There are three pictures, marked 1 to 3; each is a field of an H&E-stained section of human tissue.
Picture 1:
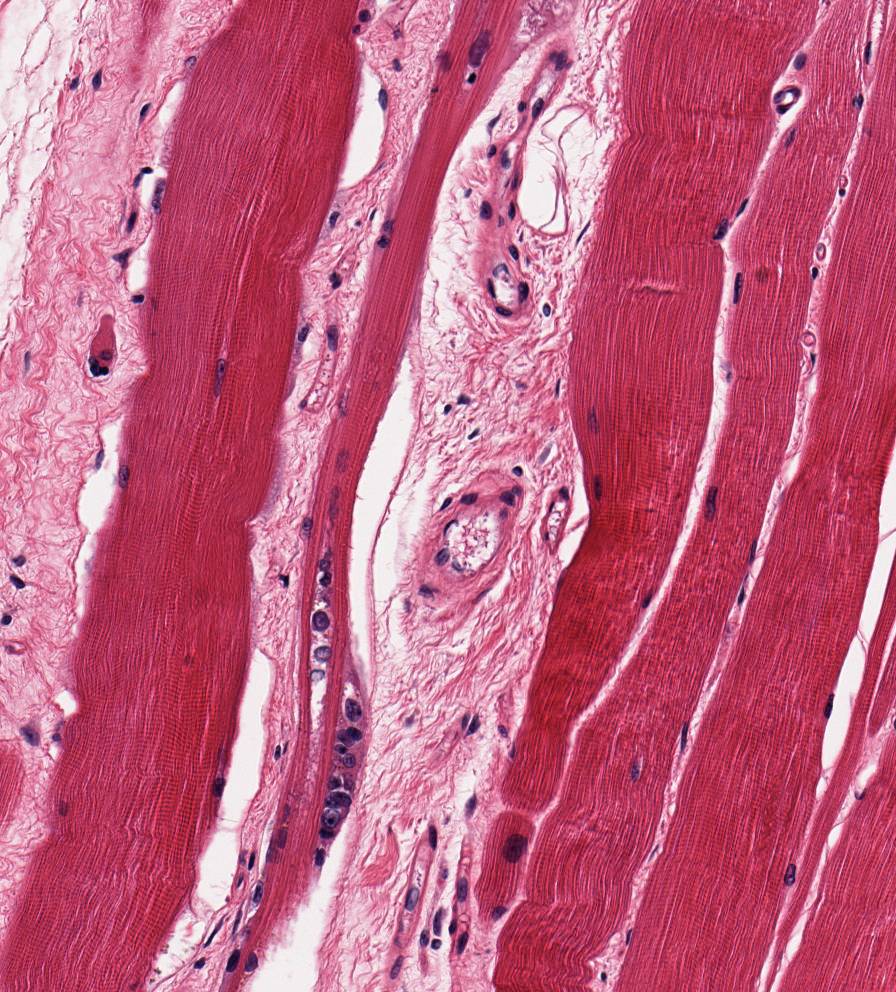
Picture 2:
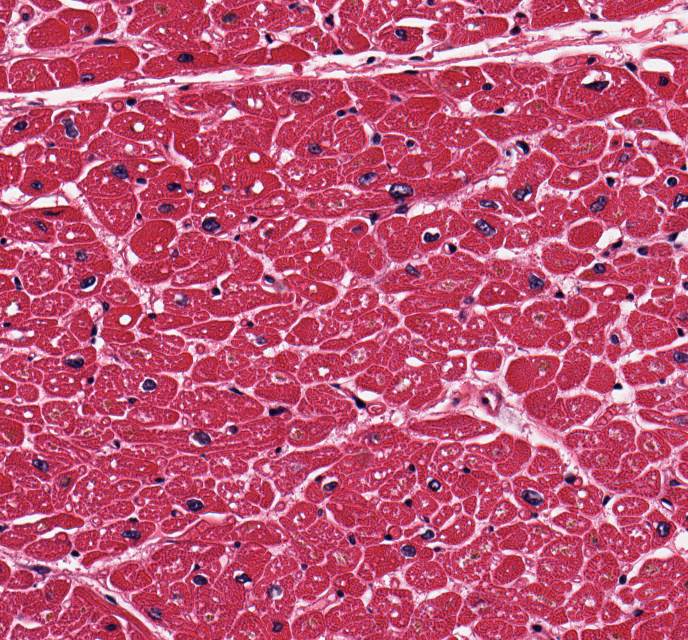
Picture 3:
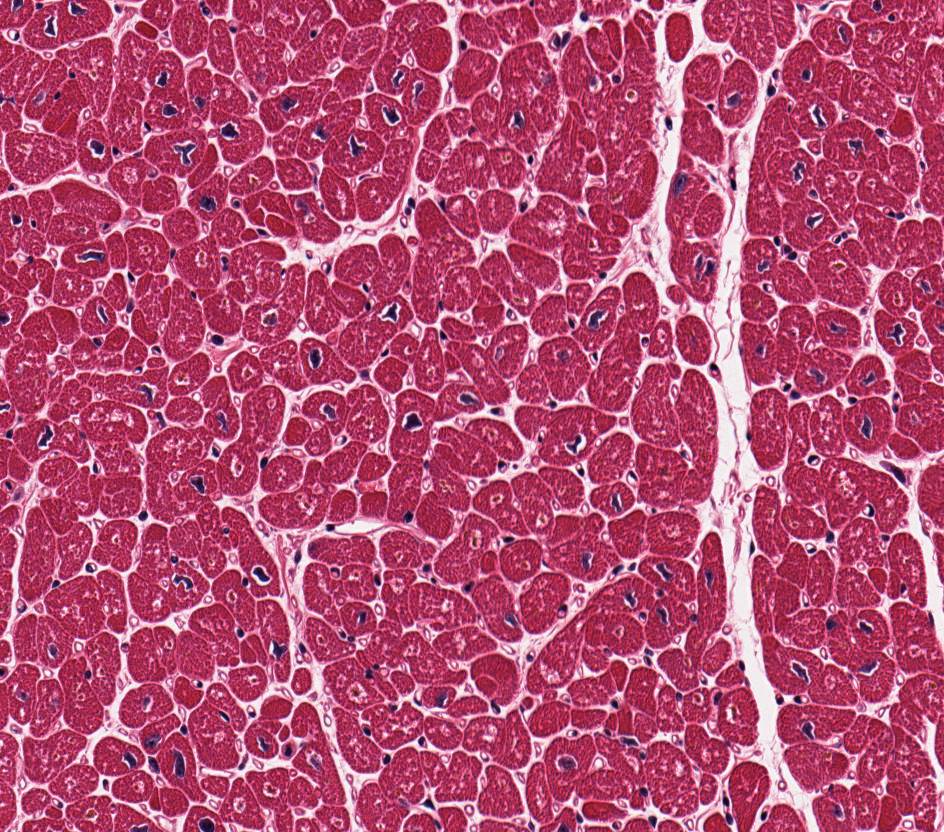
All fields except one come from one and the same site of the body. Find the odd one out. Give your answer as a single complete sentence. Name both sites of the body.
Picture 1 is the odd one out: it comes from skeletal muscle, while the others come from the left ventricle of the heart.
